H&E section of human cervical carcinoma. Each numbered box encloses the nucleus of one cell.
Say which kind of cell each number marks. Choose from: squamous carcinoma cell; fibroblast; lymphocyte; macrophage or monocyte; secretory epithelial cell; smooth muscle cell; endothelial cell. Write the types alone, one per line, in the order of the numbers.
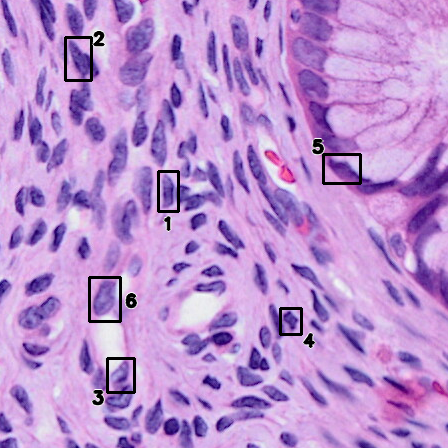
fibroblast
fibroblast
endothelial cell
fibroblast
secretory epithelial cell
endothelial cell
